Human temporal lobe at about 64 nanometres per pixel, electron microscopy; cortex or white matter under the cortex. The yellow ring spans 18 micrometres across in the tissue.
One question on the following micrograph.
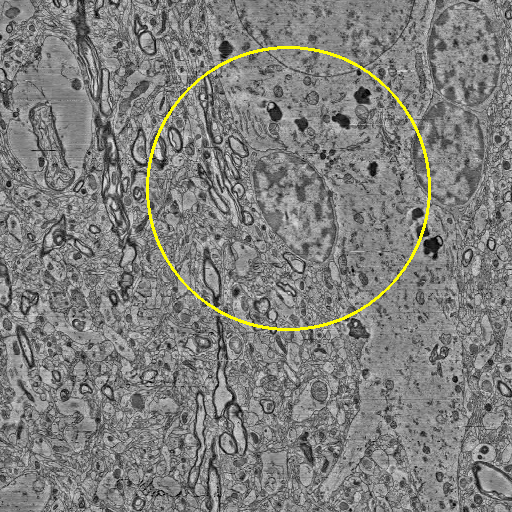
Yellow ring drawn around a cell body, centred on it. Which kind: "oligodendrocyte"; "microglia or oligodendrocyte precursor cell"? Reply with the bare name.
oligodendrocyte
